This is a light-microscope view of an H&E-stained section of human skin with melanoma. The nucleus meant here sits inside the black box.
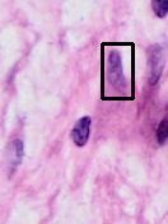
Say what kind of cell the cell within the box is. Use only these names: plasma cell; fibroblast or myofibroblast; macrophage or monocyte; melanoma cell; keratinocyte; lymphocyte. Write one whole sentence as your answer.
In this preparation, the cell within the box is a fibroblast or myofibroblast.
